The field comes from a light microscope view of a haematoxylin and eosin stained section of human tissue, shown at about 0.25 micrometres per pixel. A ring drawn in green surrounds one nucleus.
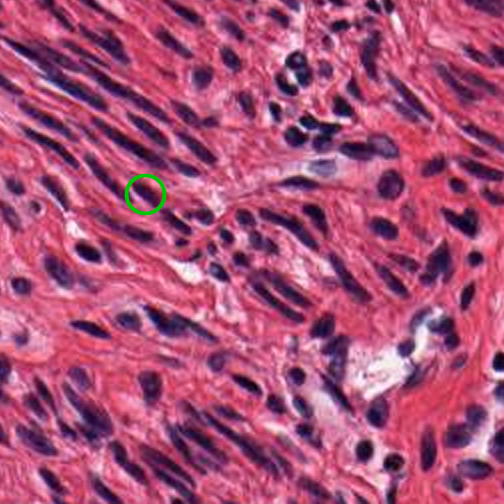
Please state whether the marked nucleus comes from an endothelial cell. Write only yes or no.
no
